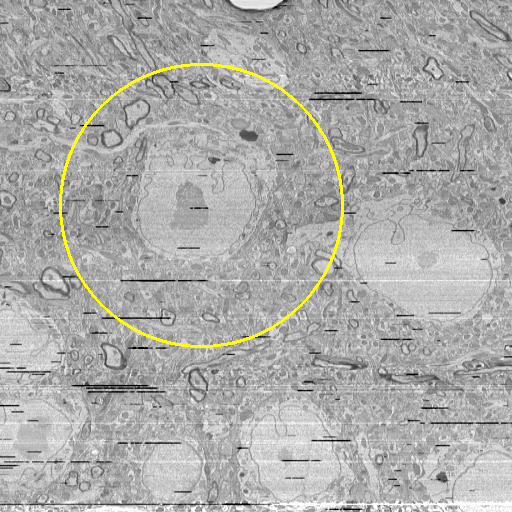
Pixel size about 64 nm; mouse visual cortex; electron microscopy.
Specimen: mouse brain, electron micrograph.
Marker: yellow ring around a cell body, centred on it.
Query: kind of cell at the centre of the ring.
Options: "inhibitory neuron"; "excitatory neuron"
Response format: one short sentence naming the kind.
This cell body belongs to an inhibitory neuron.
